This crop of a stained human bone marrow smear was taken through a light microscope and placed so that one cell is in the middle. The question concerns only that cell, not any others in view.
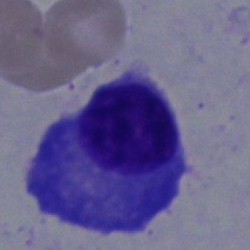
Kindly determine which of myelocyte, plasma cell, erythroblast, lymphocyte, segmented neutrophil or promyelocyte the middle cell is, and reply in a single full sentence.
As for the central cell, it is a plasma cell.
